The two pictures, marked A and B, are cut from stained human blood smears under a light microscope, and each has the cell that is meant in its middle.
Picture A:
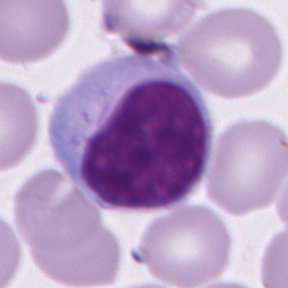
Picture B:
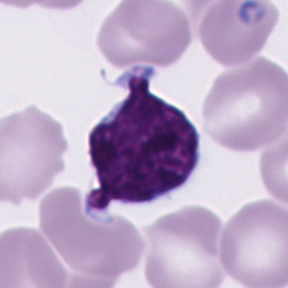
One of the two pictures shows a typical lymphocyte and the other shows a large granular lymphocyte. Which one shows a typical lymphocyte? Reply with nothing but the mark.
B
